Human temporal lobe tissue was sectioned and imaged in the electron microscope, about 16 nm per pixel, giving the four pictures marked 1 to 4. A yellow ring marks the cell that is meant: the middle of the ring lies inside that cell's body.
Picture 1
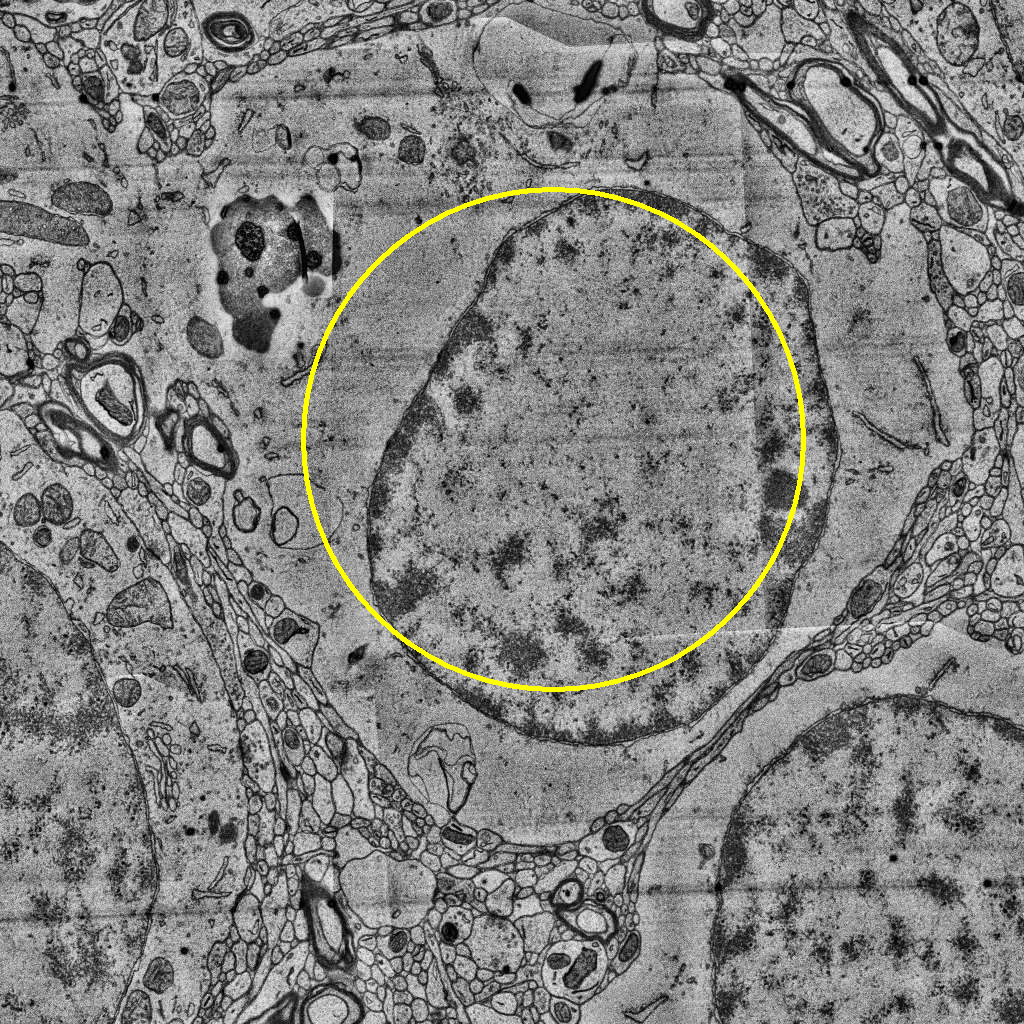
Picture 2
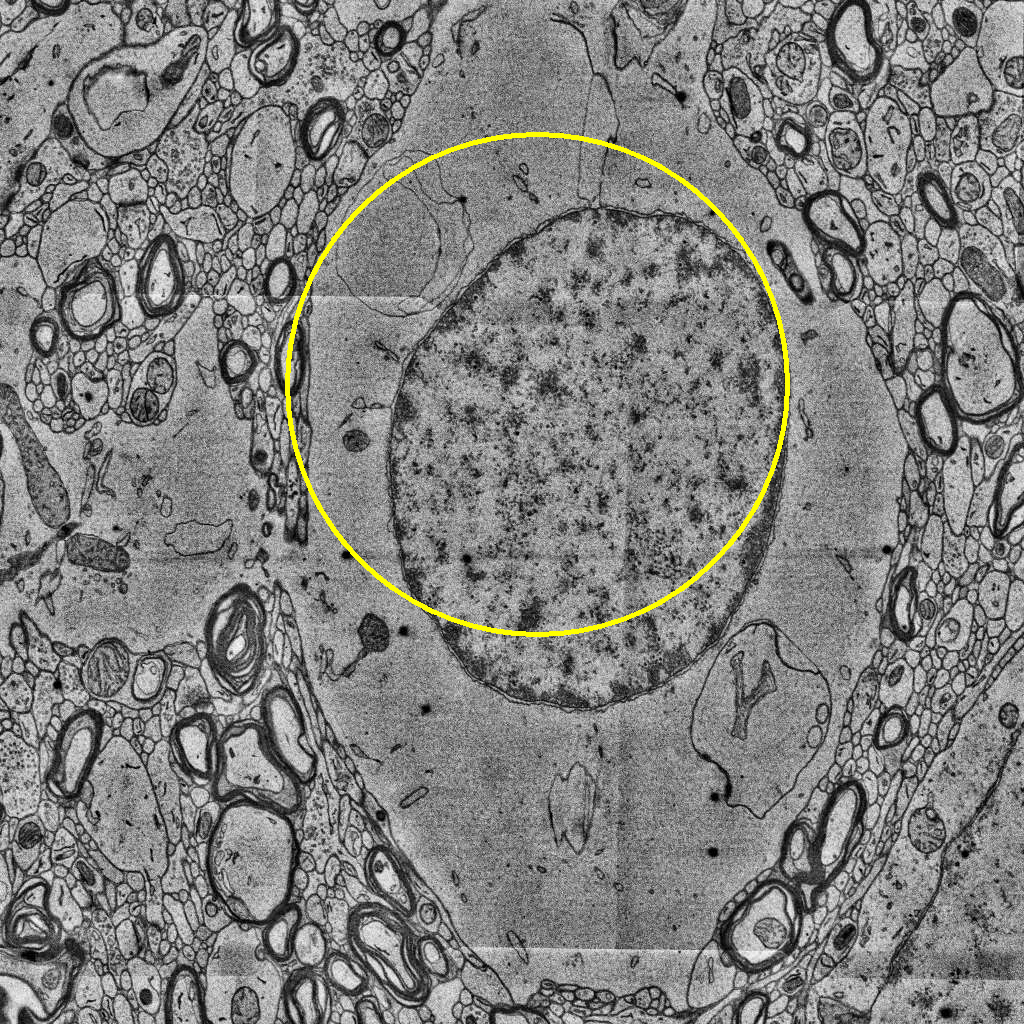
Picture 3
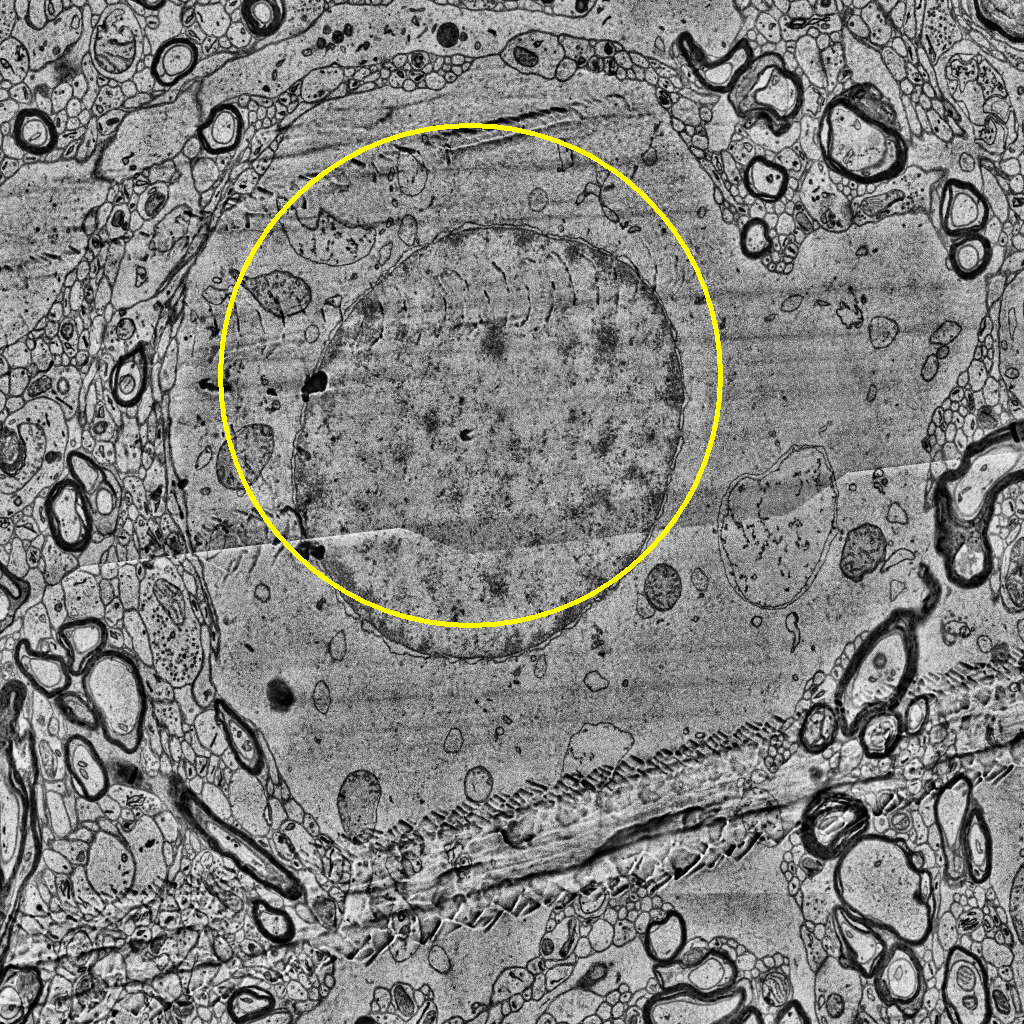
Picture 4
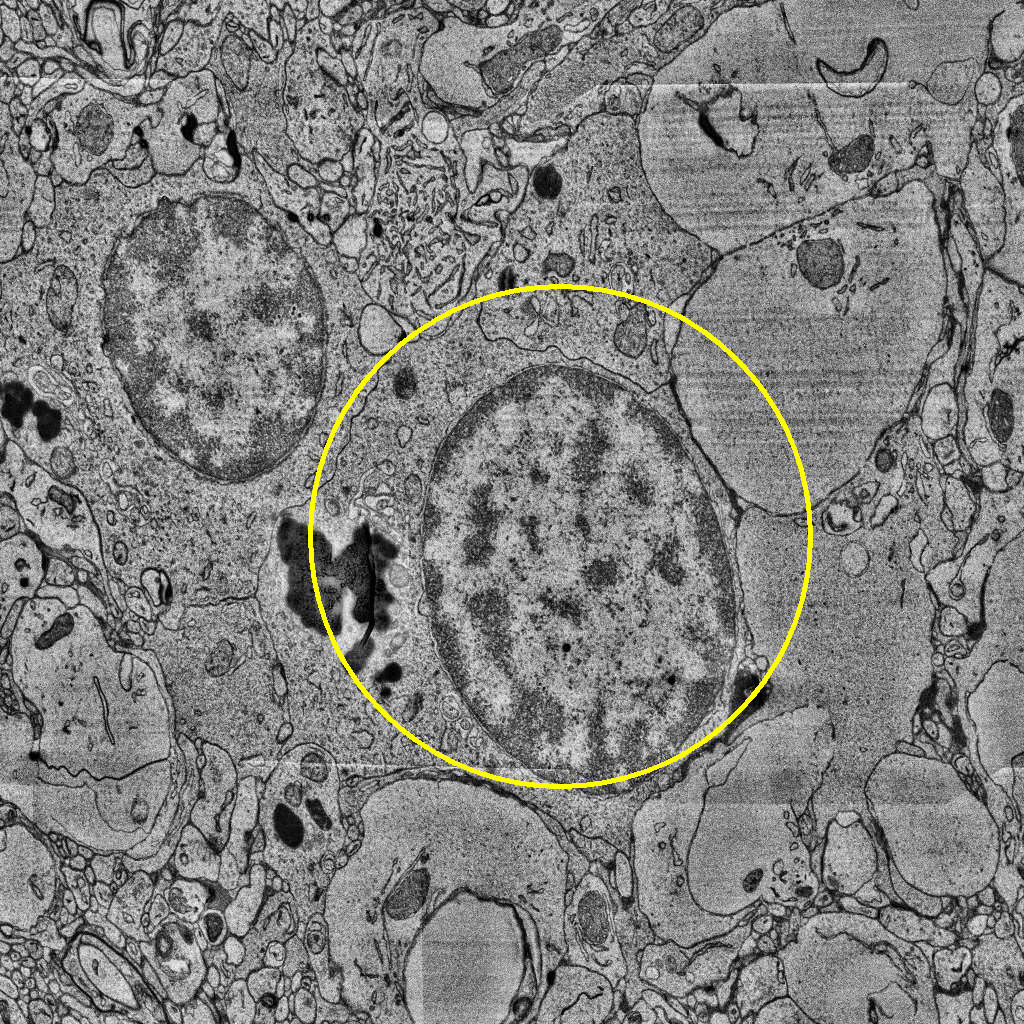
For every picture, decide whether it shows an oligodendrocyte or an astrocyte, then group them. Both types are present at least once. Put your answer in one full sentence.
Picture 4 shows an oligodendrocyte, while pictures 1, 2 and 3 show astrocytes.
